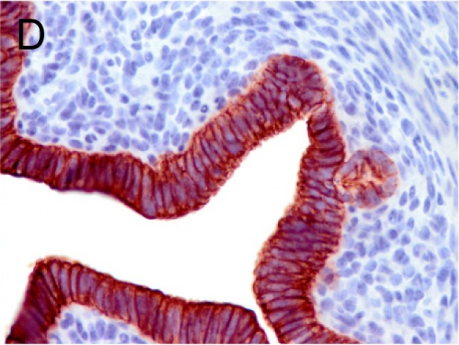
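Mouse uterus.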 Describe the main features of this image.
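A section of uterine wall shows the luminal epithelium bordering a branched lumen, surrounded by endometrial stroma. The lining is a single layer of tall columnar cells with strongly brown cytoplasm and cell borders, with elongated nuclei arranged side by side, following folds of the lumen. Only one small rounded bud of brown-stained cells lies next to the lining; no separate glands are seen elsewhere in the field. The surrounding stroma consists of closely packed cells with oval to spindle-shaped blue nuclei and pale cytoplasm, free of brown staining.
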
